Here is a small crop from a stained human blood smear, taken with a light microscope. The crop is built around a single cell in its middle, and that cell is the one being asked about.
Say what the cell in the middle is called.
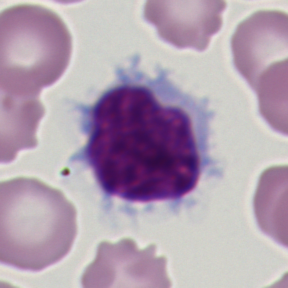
hairy cell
